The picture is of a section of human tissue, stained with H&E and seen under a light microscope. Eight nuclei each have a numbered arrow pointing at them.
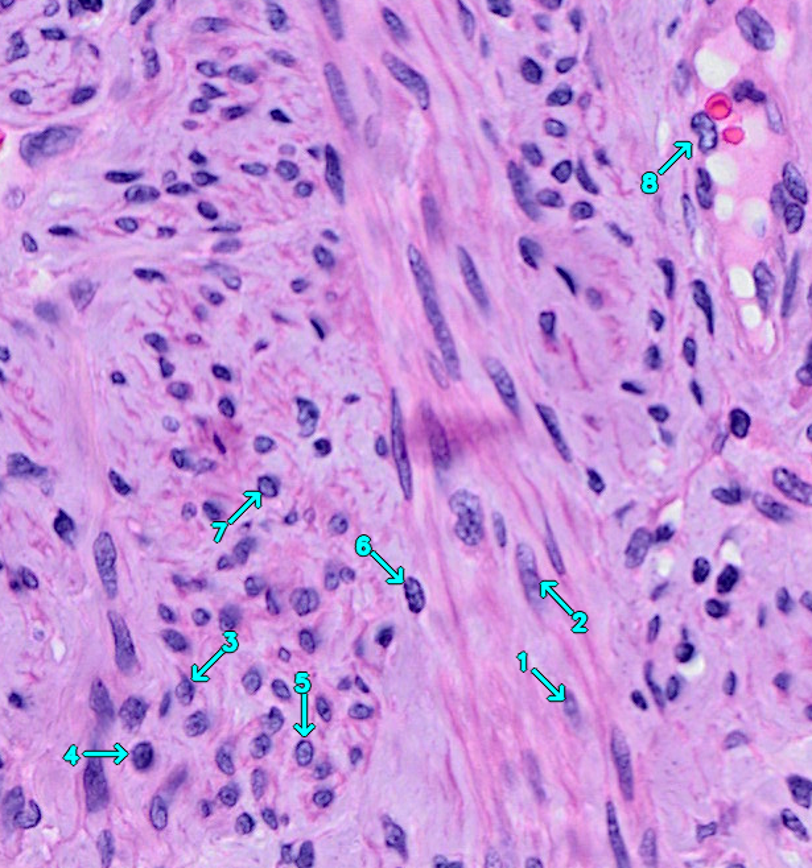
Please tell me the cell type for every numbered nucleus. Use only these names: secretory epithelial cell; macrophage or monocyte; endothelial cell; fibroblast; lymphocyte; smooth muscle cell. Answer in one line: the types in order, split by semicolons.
smooth muscle cell; smooth muscle cell; smooth muscle cell; lymphocyte; smooth muscle cell; lymphocyte; smooth muscle cell; endothelial cell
